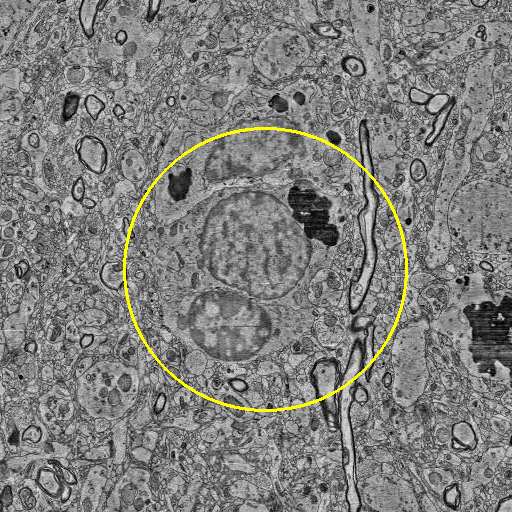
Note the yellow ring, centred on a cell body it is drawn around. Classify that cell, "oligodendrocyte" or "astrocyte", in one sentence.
The cell the ring is centred on is an oligodendrocyte.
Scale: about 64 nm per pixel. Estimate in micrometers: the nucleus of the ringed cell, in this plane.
About 7 micrometers across, in this plane.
